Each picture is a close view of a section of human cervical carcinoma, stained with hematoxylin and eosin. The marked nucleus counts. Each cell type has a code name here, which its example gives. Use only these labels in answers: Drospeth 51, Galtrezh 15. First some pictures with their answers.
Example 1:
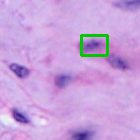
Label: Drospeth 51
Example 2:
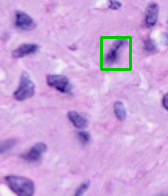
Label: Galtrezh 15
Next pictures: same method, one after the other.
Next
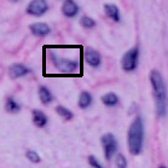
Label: Drospeth 51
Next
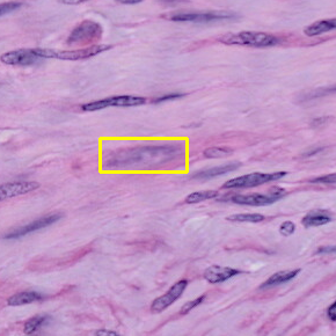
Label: Drospeth 51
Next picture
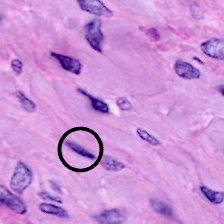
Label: Galtrezh 15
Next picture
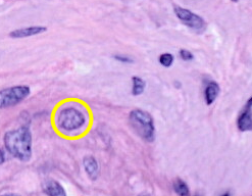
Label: Drospeth 51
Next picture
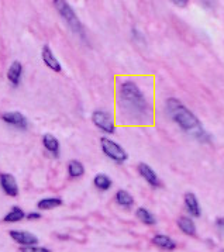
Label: Drospeth 51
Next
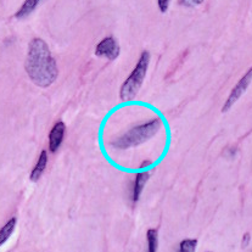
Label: Galtrezh 15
